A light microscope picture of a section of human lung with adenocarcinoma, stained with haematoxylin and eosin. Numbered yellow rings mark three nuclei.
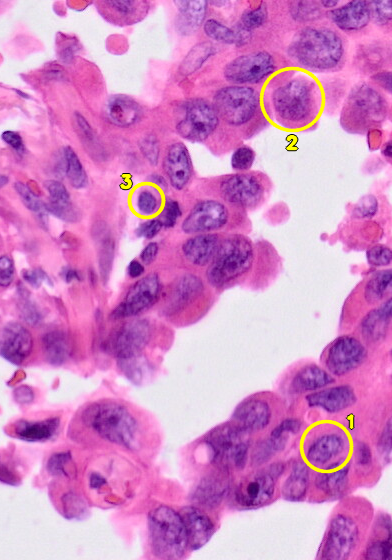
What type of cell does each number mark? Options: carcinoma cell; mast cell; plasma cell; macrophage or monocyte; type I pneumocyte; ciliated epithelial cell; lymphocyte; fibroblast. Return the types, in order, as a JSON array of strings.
["carcinoma cell", "carcinoma cell", "lymphocyte"]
